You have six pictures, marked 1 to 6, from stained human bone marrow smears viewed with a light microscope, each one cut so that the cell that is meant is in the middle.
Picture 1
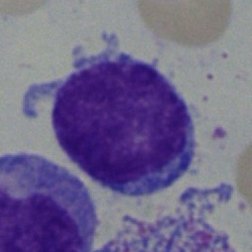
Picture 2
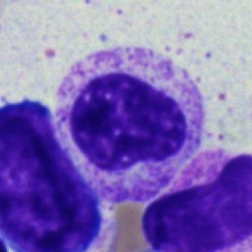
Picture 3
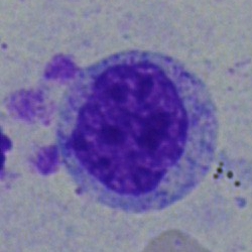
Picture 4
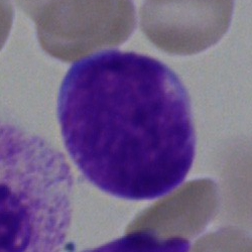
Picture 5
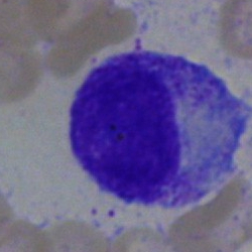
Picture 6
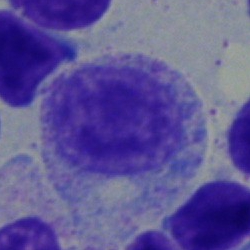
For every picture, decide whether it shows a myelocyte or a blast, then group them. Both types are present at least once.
1: blast
2: myelocyte
3: myelocyte
4: blast
5: myelocyte
6: myelocyte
